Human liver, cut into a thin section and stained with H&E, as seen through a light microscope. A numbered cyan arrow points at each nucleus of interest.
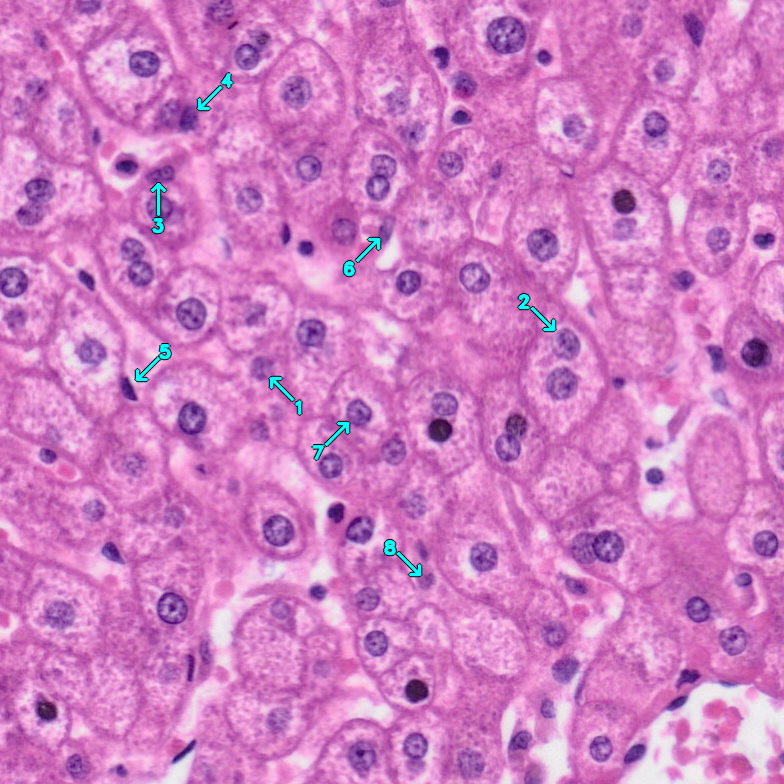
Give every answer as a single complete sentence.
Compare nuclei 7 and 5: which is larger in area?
At about 2 times the area of nucleus 5, nucleus 7 is the larger of the two.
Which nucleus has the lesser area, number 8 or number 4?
With nucleus 4 about 2.5 times its size, nucleus 8 is the smaller of the two.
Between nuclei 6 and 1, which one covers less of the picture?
Nucleus 6 covers less area, with nucleus 1 about 1.5 times as large.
